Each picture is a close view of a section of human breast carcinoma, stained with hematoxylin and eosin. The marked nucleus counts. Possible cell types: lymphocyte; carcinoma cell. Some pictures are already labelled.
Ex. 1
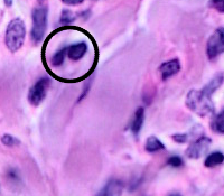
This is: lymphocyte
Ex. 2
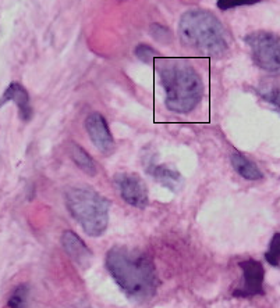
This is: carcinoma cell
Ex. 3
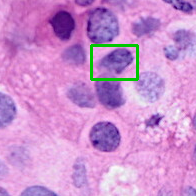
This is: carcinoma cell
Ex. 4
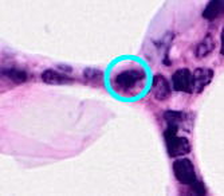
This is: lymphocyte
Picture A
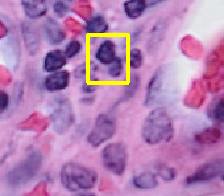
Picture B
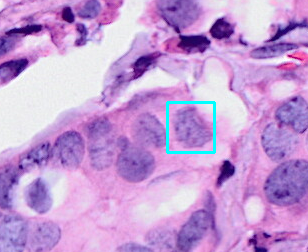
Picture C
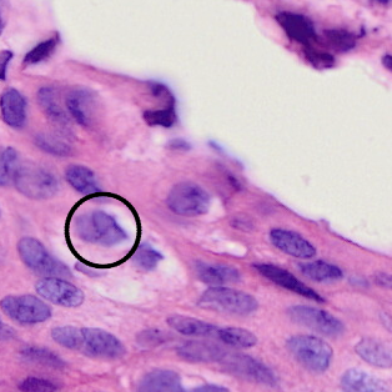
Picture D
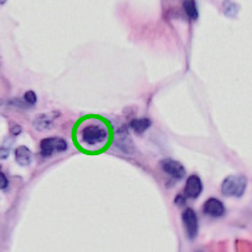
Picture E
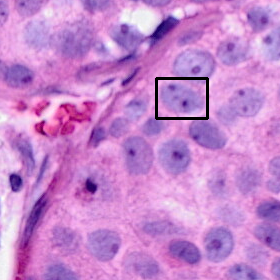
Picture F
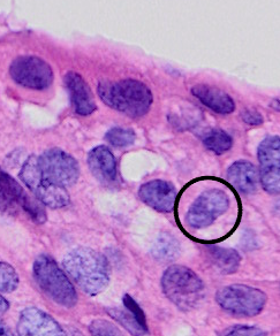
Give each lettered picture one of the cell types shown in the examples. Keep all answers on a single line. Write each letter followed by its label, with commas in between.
A lymphocyte, B carcinoma cell, C carcinoma cell, D lymphocyte, E carcinoma cell, F carcinoma cell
